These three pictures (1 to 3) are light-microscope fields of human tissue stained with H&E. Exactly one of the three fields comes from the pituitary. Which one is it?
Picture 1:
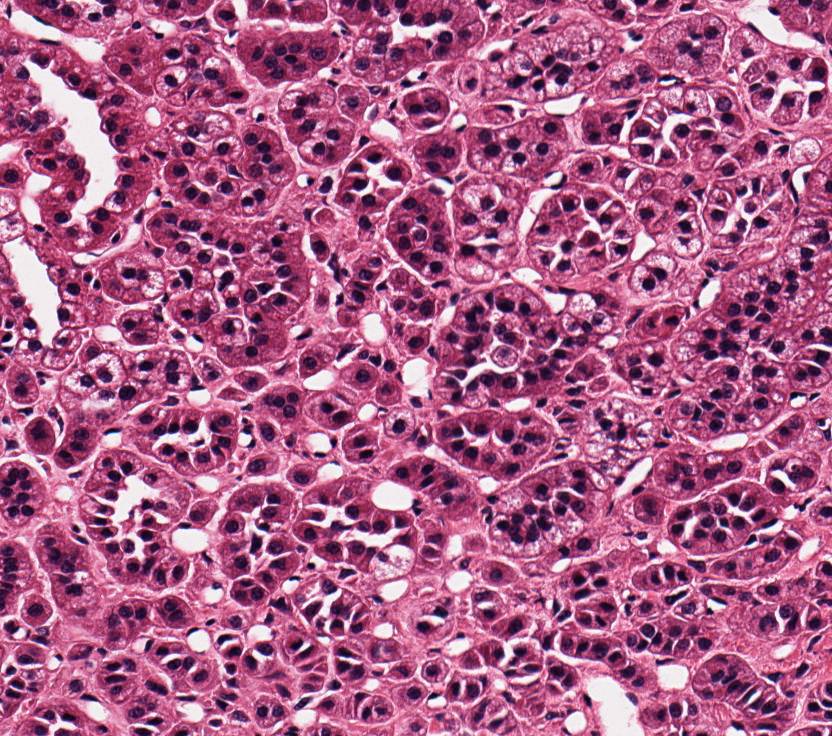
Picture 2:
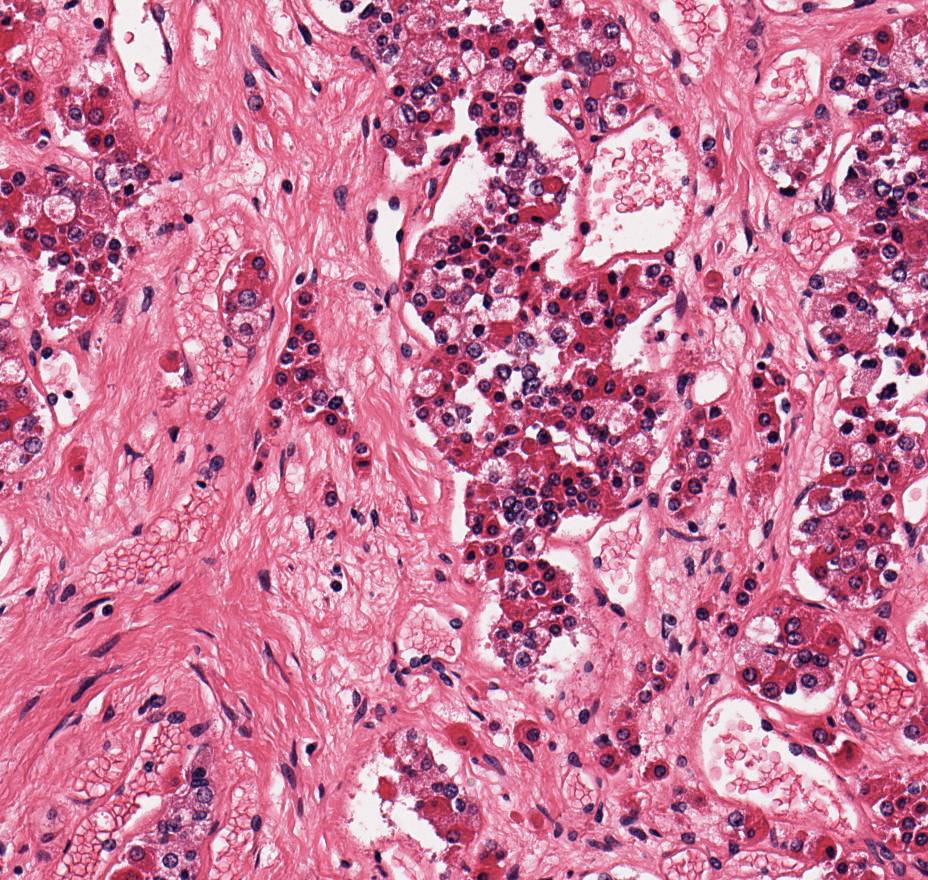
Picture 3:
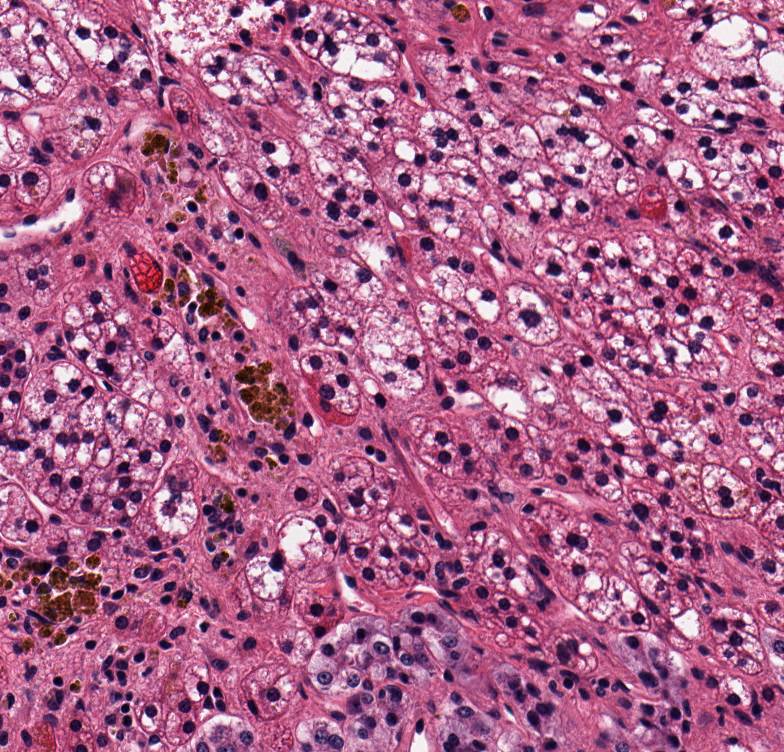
2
